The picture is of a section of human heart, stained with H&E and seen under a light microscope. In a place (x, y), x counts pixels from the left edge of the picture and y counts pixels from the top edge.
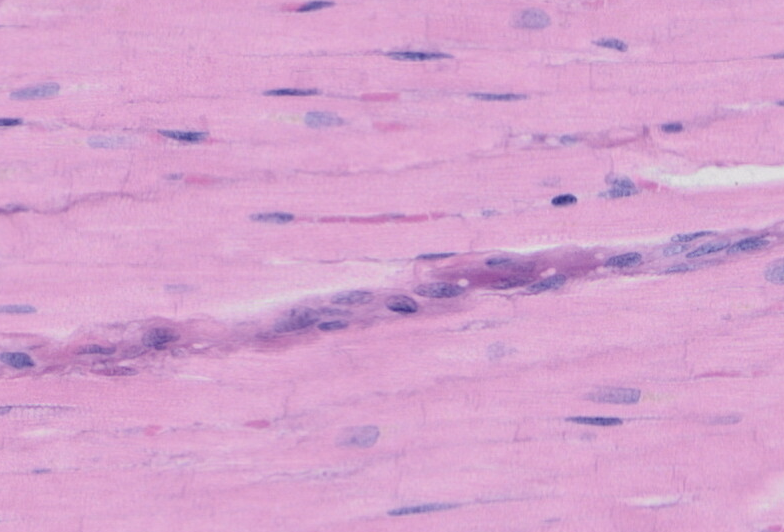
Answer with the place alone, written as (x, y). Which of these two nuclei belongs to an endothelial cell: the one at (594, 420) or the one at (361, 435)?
(594, 420)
